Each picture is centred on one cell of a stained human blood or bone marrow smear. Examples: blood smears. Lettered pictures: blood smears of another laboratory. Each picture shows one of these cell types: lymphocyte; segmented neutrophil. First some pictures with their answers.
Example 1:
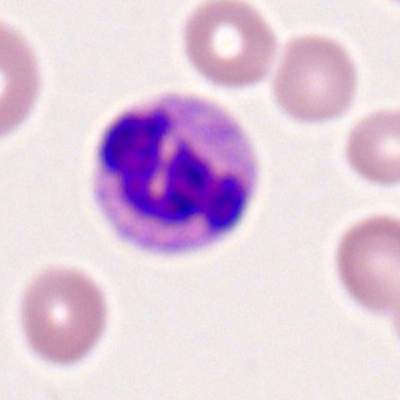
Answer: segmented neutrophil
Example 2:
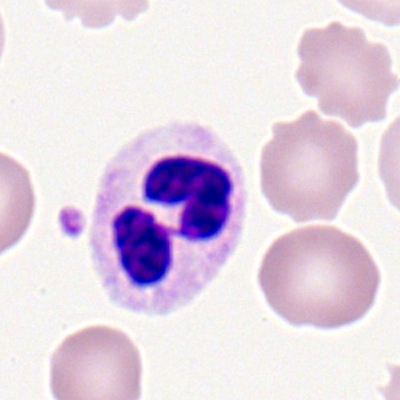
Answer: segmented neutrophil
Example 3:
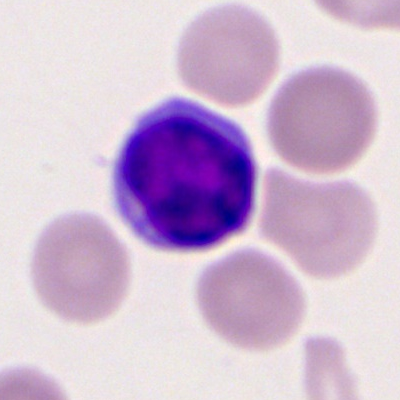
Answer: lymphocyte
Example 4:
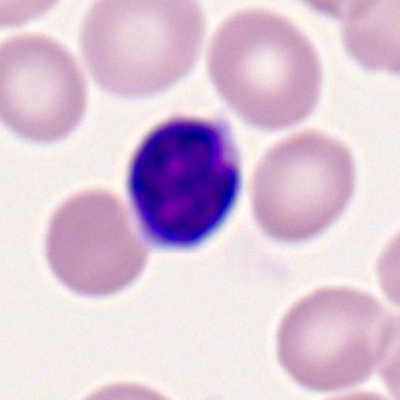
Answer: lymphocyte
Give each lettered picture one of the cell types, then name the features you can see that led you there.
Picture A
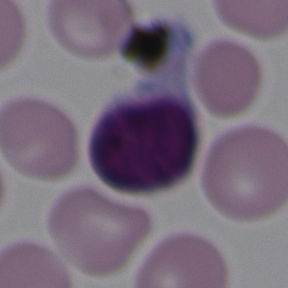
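lymphocyte. The nucleus fills most of the cell.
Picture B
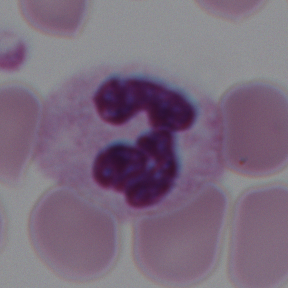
segmented neutrophil. A wide rim of pale pinkish-lilac cytoplasm surrounds the nucleus.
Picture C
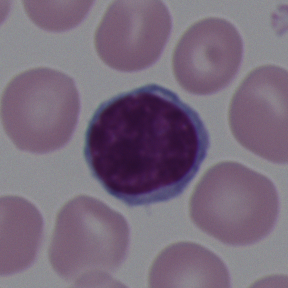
lymphocyte. The cytoplasm forms only a thin rim around the nucleus.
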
